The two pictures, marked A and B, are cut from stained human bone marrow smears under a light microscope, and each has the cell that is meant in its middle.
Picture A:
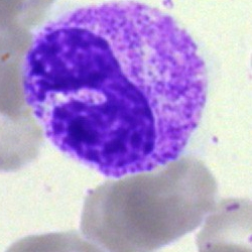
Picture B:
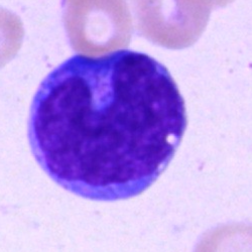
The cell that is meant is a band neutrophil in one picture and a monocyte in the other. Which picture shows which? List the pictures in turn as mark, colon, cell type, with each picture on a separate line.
A: band neutrophil
B: monocyte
